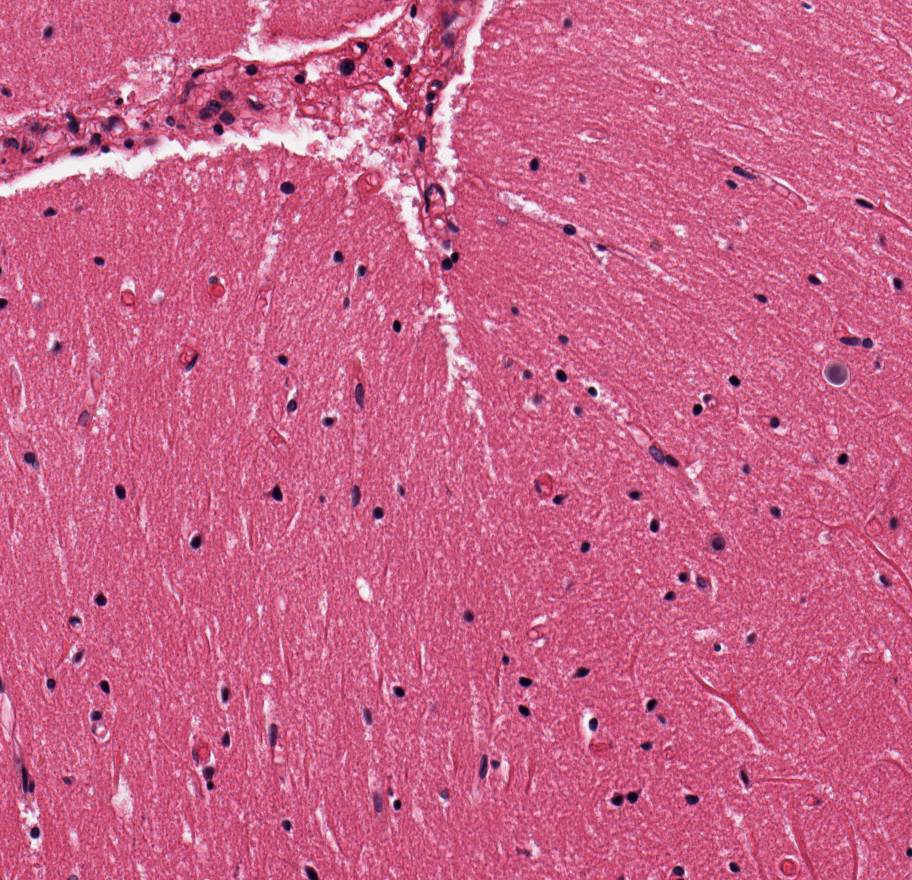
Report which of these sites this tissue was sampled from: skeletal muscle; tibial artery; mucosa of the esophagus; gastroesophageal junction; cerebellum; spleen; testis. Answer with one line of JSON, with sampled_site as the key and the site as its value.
{"sampled_site": "cerebellum"}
